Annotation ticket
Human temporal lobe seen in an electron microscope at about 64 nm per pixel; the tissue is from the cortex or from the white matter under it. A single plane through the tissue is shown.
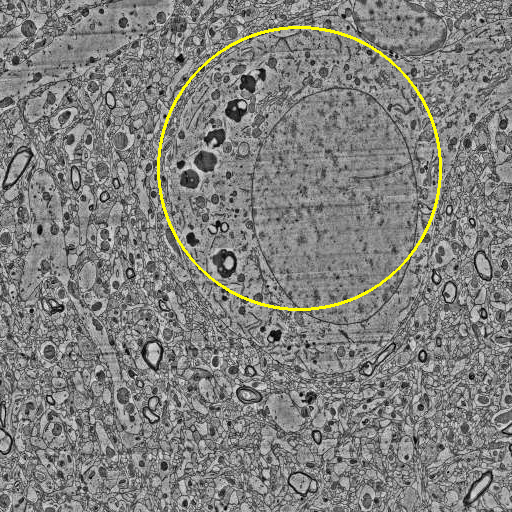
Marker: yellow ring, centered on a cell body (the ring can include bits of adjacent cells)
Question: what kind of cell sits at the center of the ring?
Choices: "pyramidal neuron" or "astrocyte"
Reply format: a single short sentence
The ring is centered on a pyramidal neuron.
